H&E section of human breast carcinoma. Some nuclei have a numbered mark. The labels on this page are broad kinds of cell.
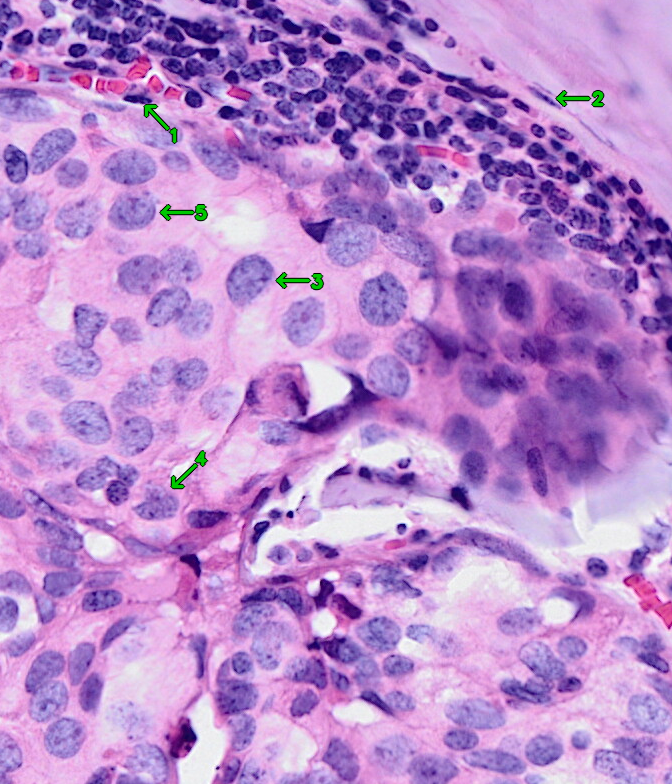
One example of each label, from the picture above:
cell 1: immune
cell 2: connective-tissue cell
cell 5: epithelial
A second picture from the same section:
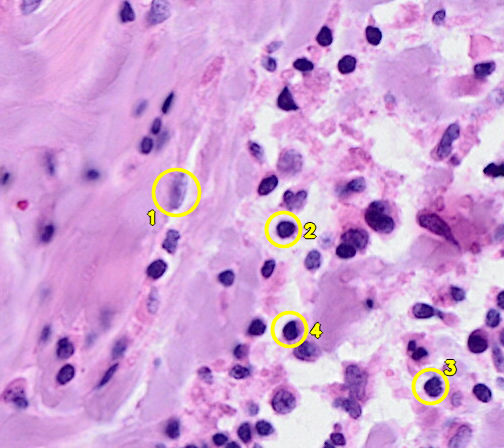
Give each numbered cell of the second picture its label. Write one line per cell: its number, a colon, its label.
1: connective-tissue cell
2: immune
3: immune
4: immune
